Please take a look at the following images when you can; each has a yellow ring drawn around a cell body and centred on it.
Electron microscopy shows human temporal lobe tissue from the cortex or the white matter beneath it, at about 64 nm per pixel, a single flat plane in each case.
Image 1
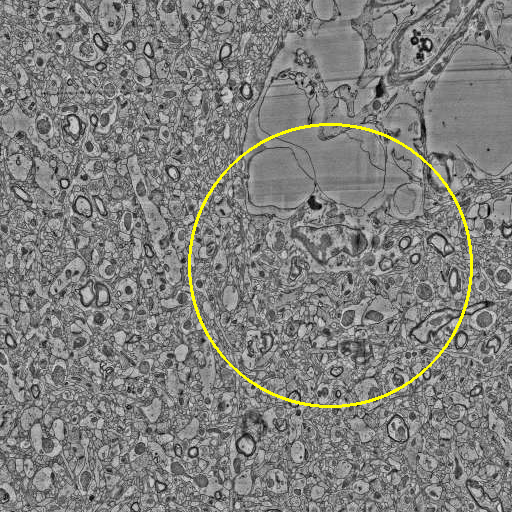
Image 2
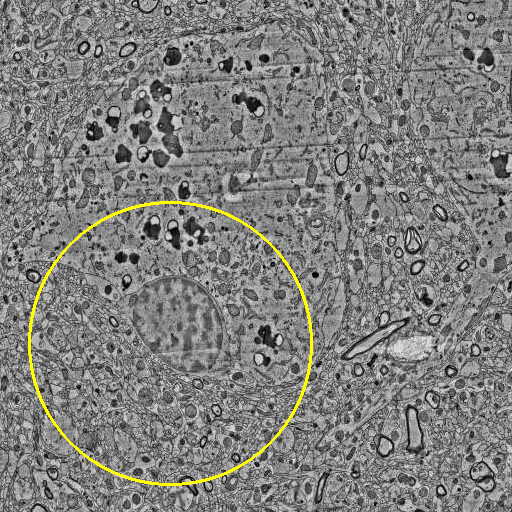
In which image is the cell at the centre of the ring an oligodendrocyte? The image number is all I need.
2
